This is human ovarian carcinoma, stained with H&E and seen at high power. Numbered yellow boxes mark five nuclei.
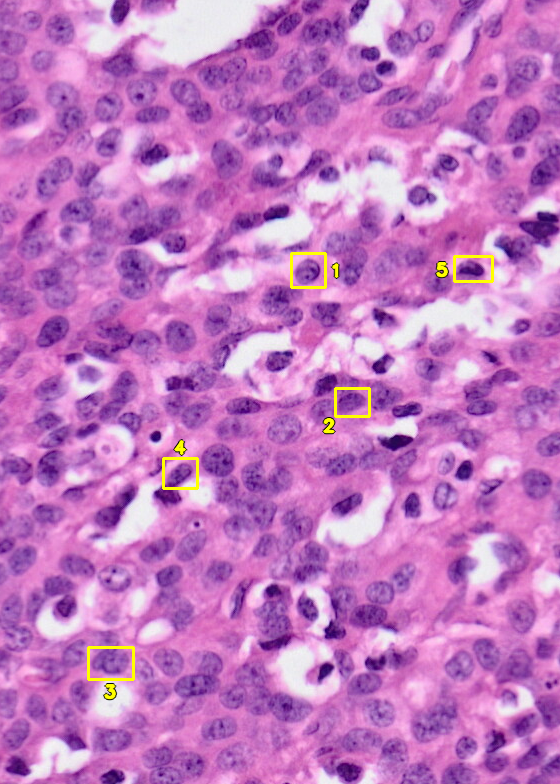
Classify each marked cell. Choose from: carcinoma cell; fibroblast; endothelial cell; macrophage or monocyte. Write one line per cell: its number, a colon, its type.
1: macrophage or monocyte
2: carcinoma cell
3: carcinoma cell
4: carcinoma cell
5: macrophage or monocyte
